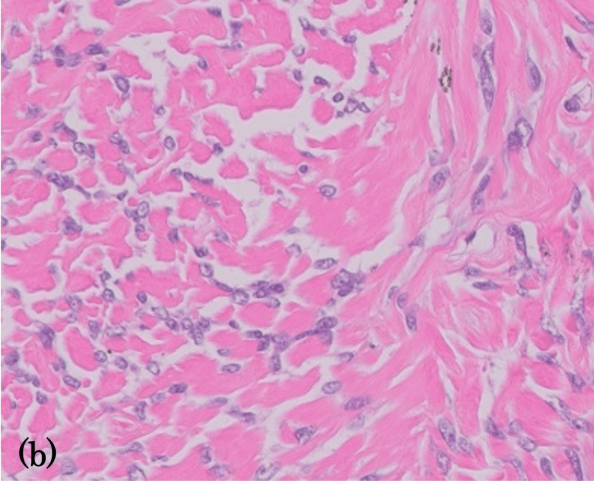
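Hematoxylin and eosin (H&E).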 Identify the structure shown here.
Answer: thick collagen fibers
